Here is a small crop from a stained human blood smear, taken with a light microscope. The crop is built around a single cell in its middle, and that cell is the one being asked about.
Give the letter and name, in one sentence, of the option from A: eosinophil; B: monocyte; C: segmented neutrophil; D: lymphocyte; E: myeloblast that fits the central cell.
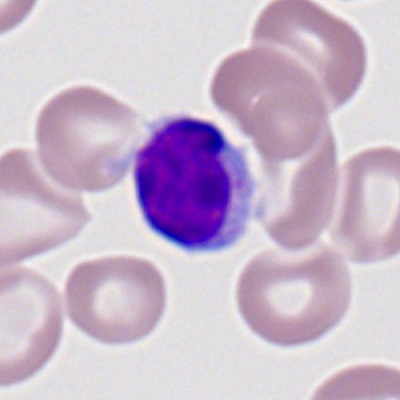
The cell in the middle is a lymphocyte, and so option D is correct.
